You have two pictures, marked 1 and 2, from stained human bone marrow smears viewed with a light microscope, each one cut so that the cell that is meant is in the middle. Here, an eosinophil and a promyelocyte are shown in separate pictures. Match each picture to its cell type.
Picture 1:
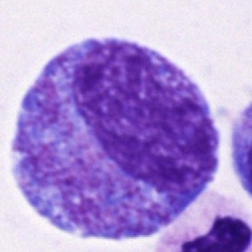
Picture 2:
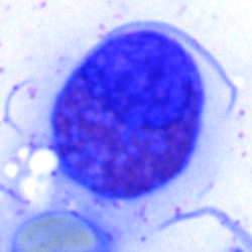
1: promyelocyte
2: eosinophil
